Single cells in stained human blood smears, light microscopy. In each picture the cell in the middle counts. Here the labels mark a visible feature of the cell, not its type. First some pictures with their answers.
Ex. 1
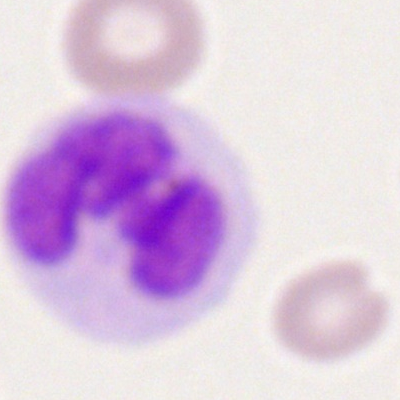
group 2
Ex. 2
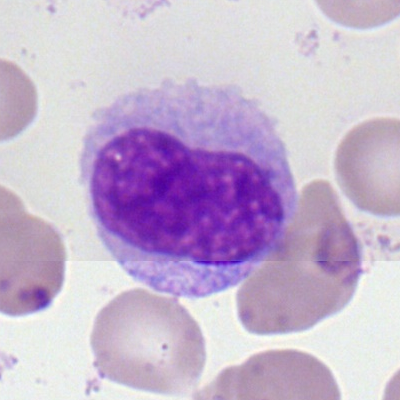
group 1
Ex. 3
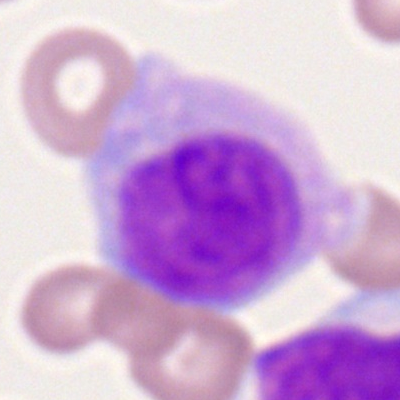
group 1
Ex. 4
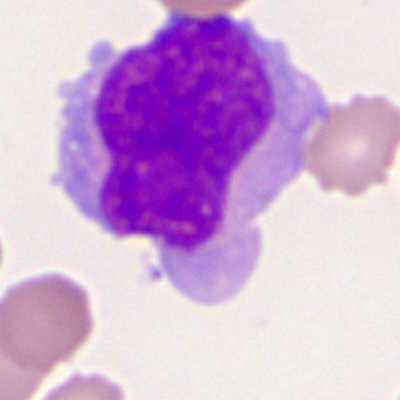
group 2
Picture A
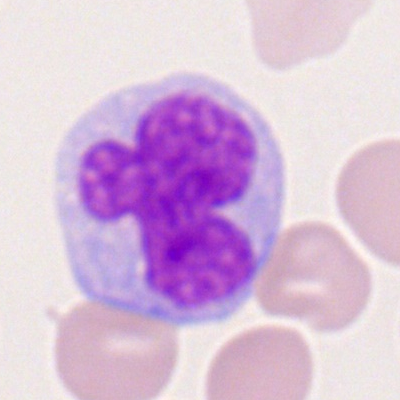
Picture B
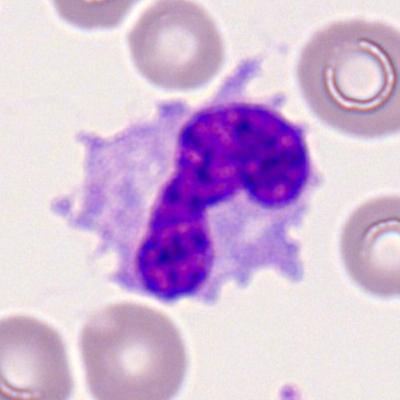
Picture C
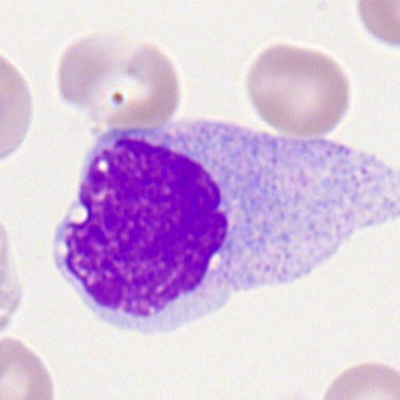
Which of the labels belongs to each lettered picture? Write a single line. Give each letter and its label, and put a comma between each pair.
A group 2, B group 2, C group 1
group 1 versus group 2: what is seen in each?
group 1, single compact nucleus; group 2, lobed nucleus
